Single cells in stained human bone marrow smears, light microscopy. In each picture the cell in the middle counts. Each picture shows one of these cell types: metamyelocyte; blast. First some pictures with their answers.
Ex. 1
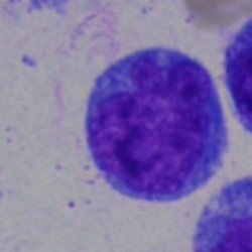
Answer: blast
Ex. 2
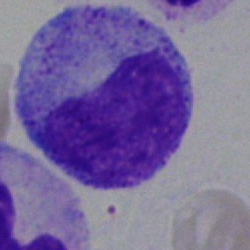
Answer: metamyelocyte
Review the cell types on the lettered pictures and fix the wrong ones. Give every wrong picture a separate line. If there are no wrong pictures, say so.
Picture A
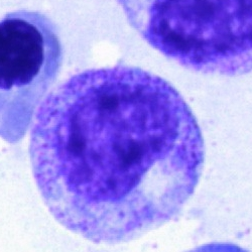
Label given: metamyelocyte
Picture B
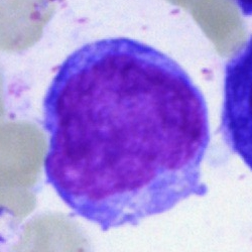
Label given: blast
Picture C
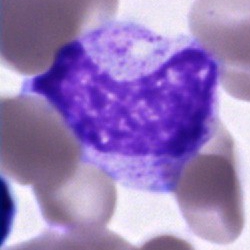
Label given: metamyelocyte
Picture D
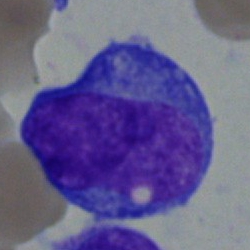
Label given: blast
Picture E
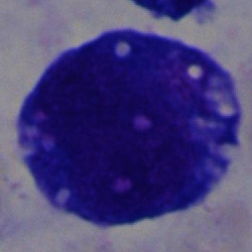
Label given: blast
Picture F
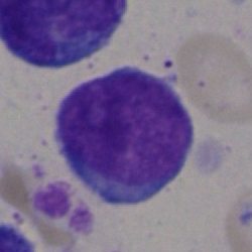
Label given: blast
Nothing to fix; every label fits.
